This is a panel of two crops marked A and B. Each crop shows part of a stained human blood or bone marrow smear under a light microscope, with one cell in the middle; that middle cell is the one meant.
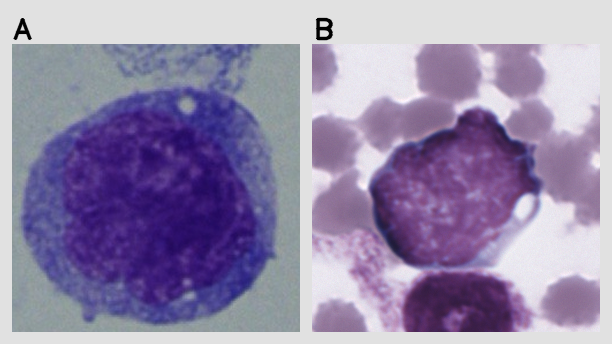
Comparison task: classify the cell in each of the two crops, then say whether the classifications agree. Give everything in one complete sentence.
Yes, the reply for both crops is blasts.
